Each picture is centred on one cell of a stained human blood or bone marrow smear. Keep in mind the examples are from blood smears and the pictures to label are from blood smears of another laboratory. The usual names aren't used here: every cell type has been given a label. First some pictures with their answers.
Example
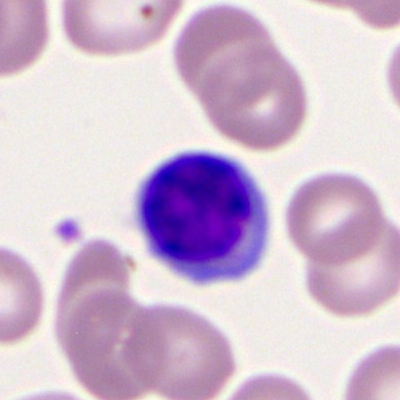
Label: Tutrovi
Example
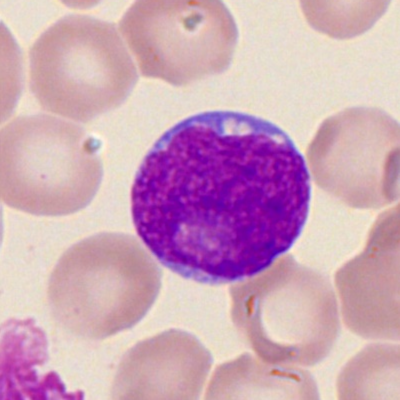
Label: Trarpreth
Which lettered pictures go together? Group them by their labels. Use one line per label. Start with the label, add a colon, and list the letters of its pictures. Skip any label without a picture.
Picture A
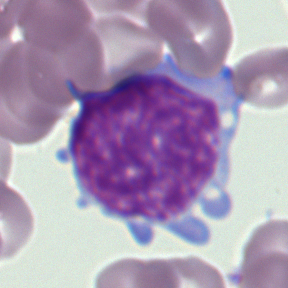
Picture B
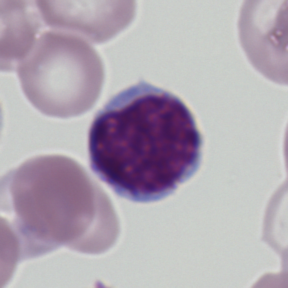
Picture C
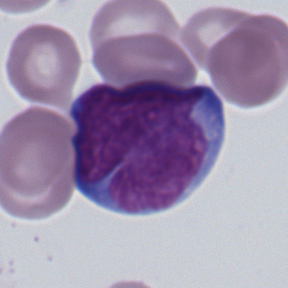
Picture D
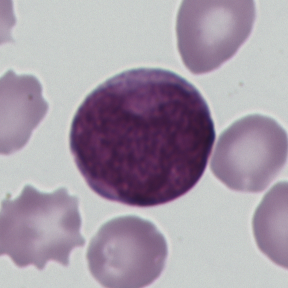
Tutrovi: B
Trarpreth: A, C, D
